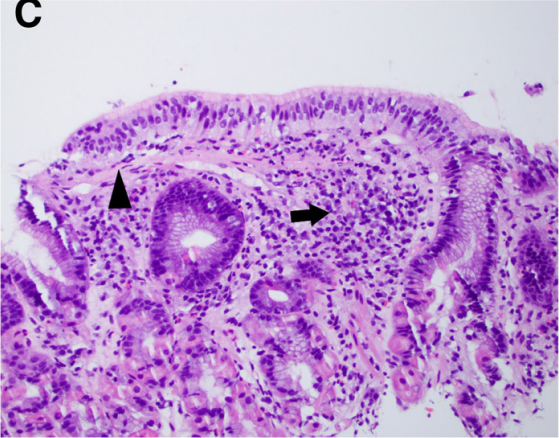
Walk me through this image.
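A surface of tall columnar mucus-secreting cells overlies stroma holding cut mucous glands, and the stroma between the glands is crowded with small cells with round, dark nuclei. The thin line beneath the surface epithelium is not broadened. This is antral type gastric mucosa with a lymphoplasmacytic infiltrate in the lamina propria.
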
